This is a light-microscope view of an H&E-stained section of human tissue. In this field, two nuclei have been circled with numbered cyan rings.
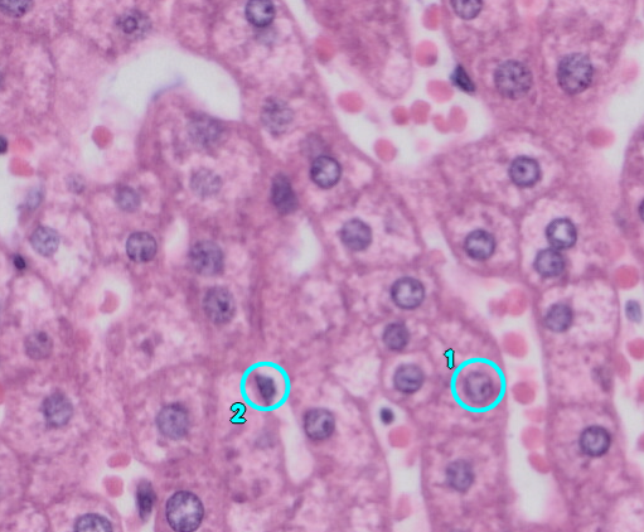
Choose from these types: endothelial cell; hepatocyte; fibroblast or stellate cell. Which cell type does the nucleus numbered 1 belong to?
hepatocyte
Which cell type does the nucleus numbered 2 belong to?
endothelial cell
